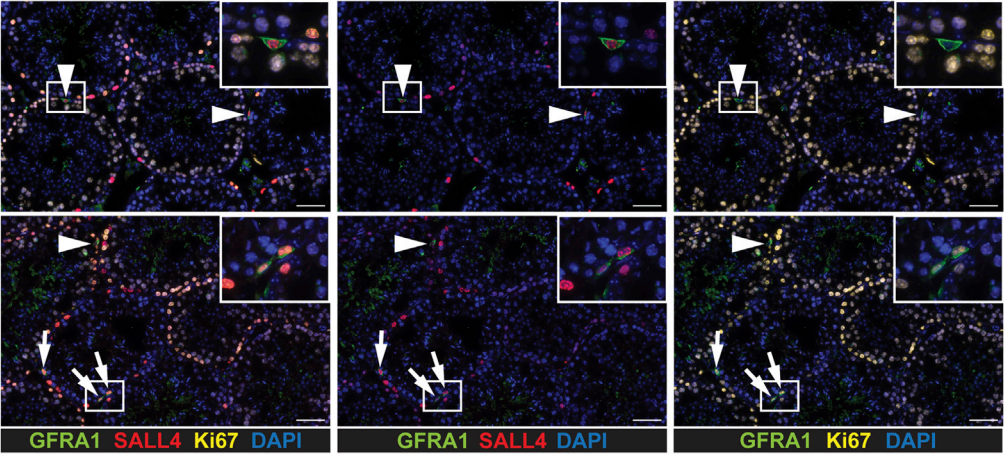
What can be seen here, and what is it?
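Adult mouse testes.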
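These are cross-sections of seminiferous tubules of the testis, with spermatogonia lining the basal edge of each tubule. Scattered among this basal row are rare cells outlined by a green ring of membrane signal, flattened against the tubule wall. Magnified insets show such a green-rimmed cell lying beside round nuclei of neighbouring basal cells. Between the tubules lie sparse interstitial cells with blue nuclei and faint green specks.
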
